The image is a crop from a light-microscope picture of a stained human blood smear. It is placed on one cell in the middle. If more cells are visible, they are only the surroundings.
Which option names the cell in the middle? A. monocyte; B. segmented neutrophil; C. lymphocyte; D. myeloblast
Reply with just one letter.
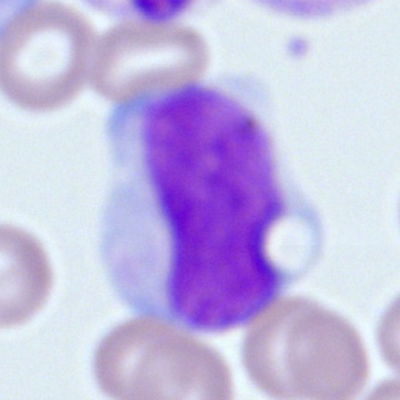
A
